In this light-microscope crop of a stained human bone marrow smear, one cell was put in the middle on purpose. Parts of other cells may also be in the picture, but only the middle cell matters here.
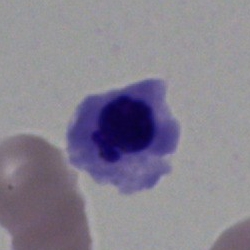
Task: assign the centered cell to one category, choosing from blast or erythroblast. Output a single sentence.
Regarding the central cell, it is an erythroblast.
